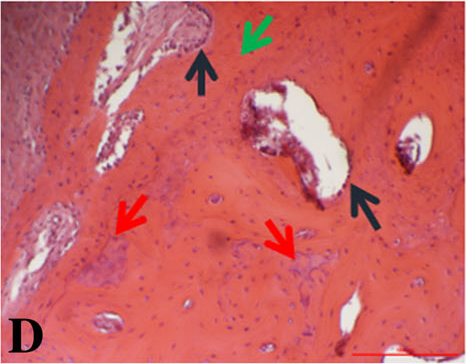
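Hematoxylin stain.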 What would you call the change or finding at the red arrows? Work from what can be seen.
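The red arrows point to pale purplish patches within the pink bone matrix. These patches are less eosinophilic than the surrounding bone.
Conclusion: areas with chondrogenic activity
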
